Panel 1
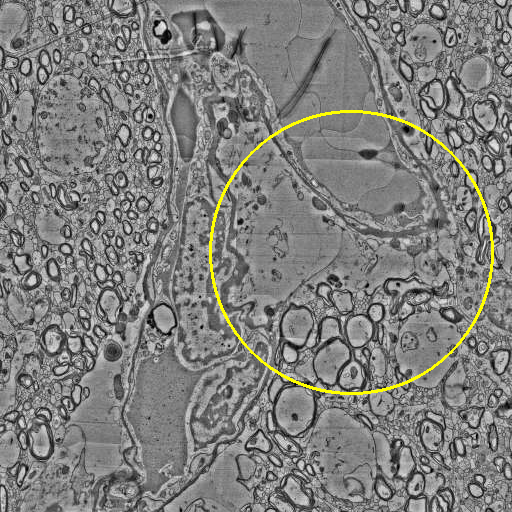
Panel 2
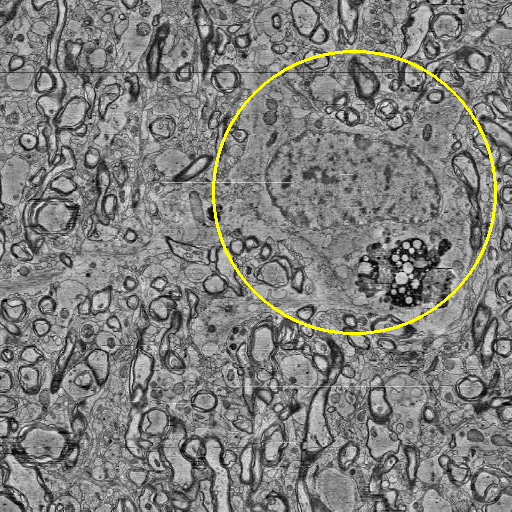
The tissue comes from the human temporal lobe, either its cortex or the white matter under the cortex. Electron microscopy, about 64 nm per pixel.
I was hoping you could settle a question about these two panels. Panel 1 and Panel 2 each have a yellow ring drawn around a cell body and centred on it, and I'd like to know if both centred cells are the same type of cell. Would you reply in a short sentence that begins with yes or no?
No, they are two types of cell.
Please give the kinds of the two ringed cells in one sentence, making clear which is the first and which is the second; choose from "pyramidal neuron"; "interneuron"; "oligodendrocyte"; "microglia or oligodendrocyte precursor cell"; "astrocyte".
In the second picture the ringed cell is an astrocyte; in the first it is a microglial cell or oligodendrocyte precursor cell.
